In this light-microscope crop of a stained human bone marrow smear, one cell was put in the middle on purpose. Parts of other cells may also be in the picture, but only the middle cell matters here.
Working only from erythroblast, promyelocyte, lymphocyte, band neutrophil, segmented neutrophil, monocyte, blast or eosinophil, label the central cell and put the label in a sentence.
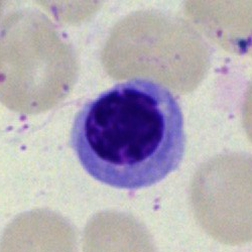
The cell at the central position in this crop is an erythroblast.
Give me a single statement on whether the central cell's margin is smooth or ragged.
The cell shows a smooth outline that lacks any surface projections.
